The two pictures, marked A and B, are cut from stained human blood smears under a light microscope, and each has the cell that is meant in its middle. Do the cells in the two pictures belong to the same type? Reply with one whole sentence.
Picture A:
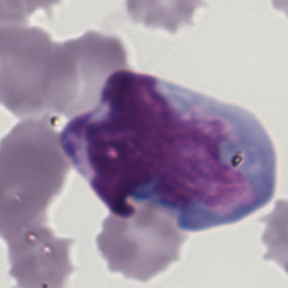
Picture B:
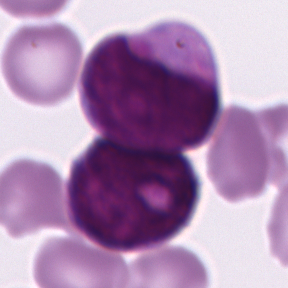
Yes, they are the same type: both are myeloblasts.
